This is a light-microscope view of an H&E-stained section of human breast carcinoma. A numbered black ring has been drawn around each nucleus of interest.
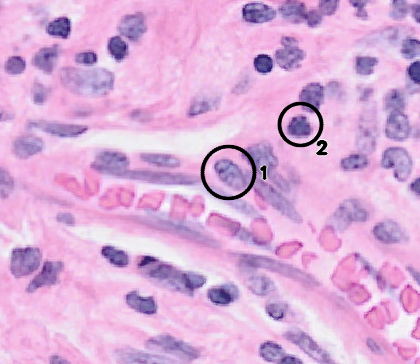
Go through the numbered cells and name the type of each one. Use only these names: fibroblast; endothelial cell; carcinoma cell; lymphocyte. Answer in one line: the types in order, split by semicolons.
endothelial cell; lymphocyte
